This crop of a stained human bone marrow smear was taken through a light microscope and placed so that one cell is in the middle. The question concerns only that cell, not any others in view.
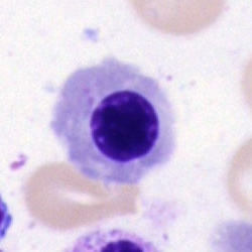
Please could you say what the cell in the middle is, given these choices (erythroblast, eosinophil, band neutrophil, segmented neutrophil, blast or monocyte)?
erythroblast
